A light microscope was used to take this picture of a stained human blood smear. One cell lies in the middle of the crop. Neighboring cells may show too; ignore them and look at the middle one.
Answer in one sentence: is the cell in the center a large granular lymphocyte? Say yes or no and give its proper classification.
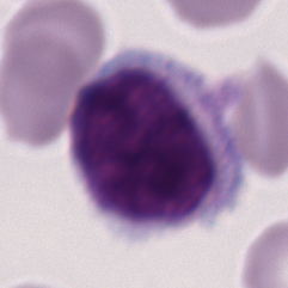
No, this one is a typical lymphocyte; it is not a large granular lymphocyte.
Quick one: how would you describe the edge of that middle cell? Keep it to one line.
The boundary of the cell runs irregularly, ragged in parts or drawn into projections.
